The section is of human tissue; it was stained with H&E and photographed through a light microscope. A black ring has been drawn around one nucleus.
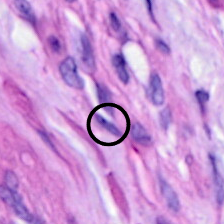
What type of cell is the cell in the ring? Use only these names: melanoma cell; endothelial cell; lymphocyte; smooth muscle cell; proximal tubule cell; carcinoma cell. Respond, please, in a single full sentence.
Just put down that the cell in the ring is an endothelial cell.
